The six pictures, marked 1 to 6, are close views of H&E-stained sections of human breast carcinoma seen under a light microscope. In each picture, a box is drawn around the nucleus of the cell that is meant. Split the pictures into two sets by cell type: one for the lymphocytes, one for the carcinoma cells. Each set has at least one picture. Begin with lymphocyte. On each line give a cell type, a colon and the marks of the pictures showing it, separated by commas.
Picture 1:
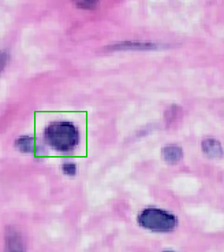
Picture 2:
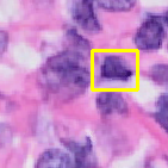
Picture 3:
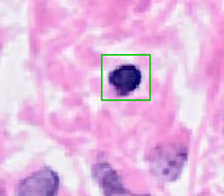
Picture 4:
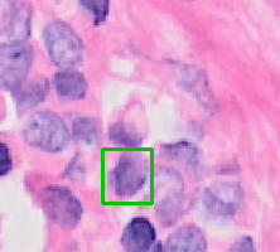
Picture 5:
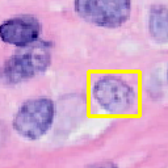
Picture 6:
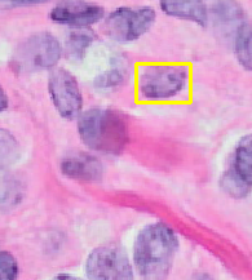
lymphocyte: 1, 3
carcinoma cell: 2, 4, 5, 6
